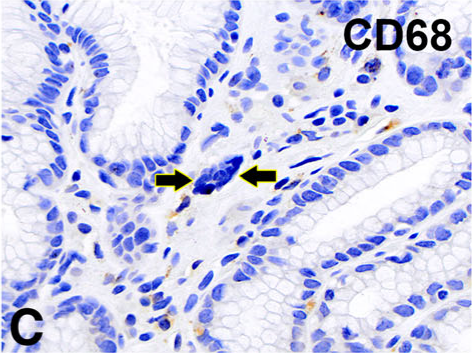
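In the stroma between glands lined by columnar epithelium lies one cell with a cluster of several dark blue, overlapping nuclei. It shows no brown stain, and only scattered small brown dots are present elsewhere in the stroma. It is a multinucleated stromal giant cell.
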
